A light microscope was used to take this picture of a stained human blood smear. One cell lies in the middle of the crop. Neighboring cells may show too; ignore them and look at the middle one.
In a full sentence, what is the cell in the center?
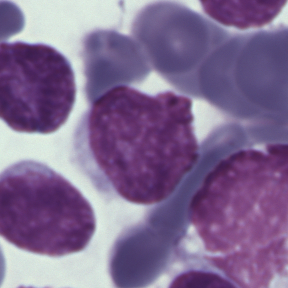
This crop has a myeloblast at its centre.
